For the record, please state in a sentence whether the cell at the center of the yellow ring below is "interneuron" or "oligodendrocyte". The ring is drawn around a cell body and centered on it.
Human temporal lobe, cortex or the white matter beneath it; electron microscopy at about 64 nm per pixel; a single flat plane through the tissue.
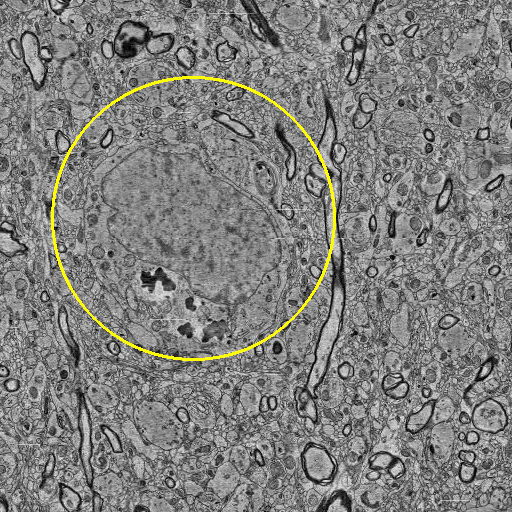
The cell at the ring's center is an interneuron.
